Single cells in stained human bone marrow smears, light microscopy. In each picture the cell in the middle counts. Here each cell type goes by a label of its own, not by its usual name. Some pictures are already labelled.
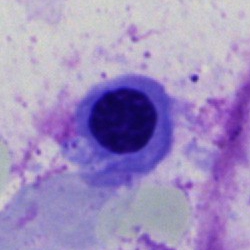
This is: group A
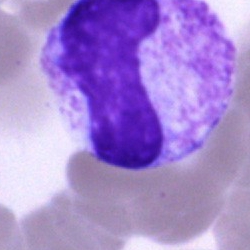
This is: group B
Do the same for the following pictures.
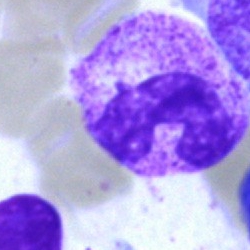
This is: group B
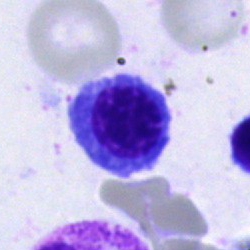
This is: group A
